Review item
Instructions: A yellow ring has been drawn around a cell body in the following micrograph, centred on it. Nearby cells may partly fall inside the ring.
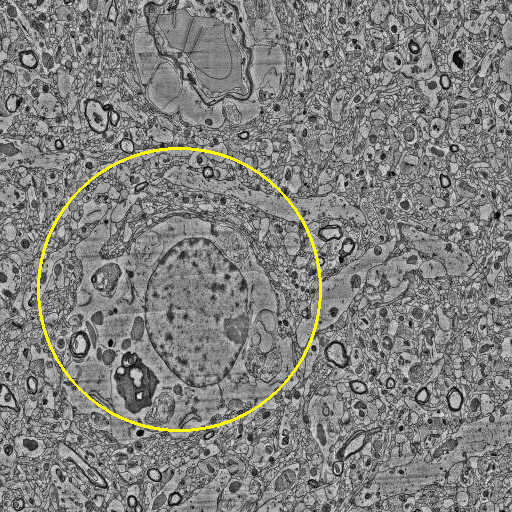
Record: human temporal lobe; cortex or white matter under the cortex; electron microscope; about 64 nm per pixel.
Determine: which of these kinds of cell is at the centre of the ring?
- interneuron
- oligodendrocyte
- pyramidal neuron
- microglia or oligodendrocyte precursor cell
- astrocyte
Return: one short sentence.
The cell body in the middle of the ring is that of an astrocyte.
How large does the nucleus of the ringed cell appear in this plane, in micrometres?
Roughly 9 by 7 micrometres is the size of the nucleus in this plane.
